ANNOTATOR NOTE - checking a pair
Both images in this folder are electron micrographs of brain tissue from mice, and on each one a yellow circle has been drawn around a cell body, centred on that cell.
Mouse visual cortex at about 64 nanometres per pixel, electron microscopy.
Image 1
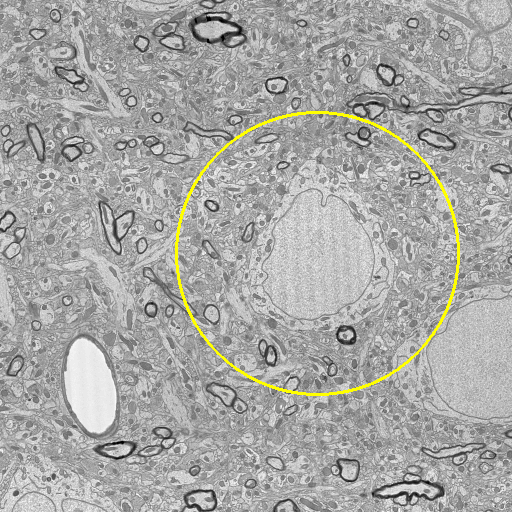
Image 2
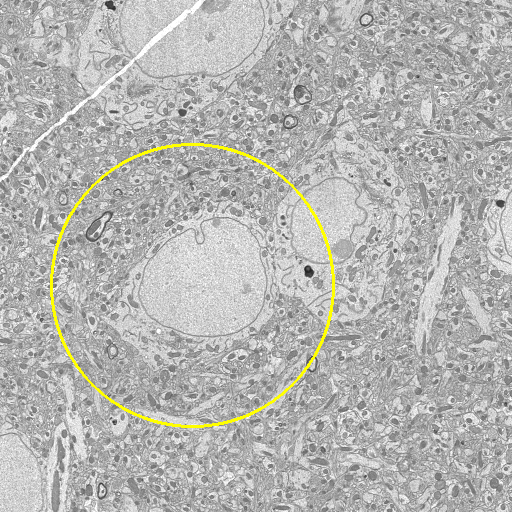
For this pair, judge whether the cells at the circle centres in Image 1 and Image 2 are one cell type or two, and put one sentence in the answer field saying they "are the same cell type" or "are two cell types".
For this pair, the cells at the circle centres in Images 1 and 2 are the same cell type.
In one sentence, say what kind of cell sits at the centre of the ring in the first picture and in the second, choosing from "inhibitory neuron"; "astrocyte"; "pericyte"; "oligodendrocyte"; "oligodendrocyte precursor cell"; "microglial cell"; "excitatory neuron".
Both cells are the same kind, each one being an excitatory neuron.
